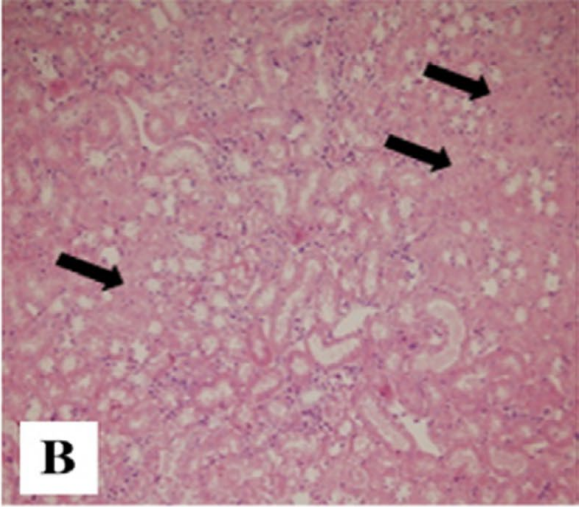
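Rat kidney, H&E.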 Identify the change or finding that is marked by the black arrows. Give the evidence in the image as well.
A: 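The arrowed areas are uniformly pink with few nuclei. Tubular outlines in the arrowed areas are faint compared with the rest of the field.
Conclusion: coagulative necrosis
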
